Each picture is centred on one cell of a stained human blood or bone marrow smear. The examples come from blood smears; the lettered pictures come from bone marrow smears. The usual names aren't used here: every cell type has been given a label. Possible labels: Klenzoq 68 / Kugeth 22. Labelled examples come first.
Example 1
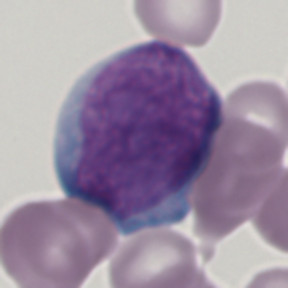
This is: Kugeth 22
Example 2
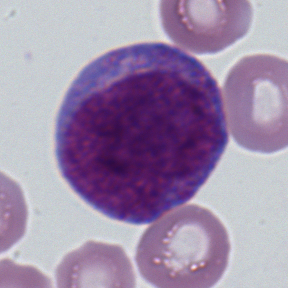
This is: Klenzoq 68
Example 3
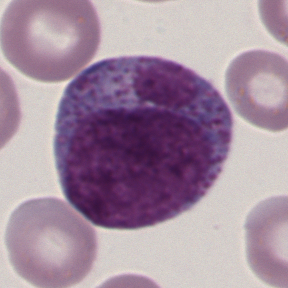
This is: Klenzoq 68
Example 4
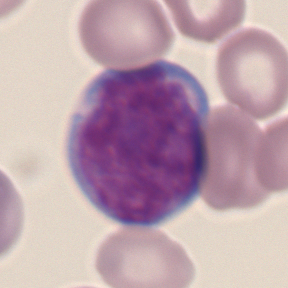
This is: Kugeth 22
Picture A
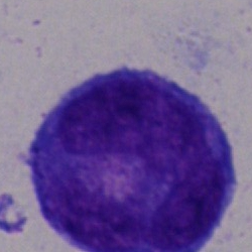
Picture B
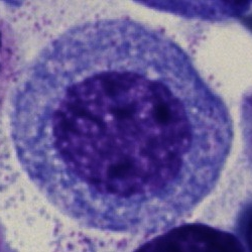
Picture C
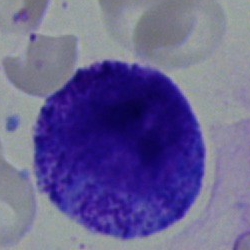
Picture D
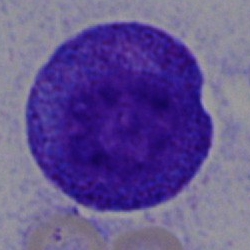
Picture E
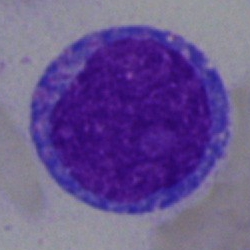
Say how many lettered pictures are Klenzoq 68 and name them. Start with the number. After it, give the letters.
3, namely B, C, D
